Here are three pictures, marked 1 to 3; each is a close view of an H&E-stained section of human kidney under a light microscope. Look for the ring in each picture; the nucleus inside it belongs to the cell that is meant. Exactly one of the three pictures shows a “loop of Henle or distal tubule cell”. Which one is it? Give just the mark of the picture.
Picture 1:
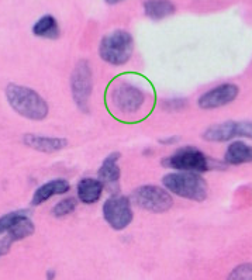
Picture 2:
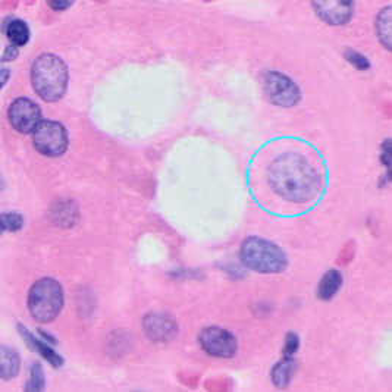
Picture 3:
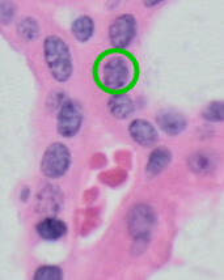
1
